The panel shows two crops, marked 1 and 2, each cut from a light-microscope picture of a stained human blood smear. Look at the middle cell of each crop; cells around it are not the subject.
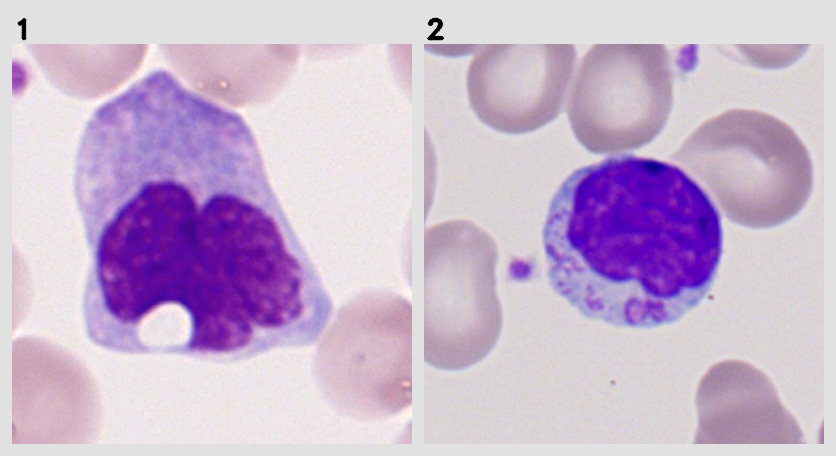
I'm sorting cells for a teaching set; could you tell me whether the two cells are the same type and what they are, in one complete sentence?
No, crop 1 shows a monocyte, and it is crop 2 that shows a lymphocyte.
